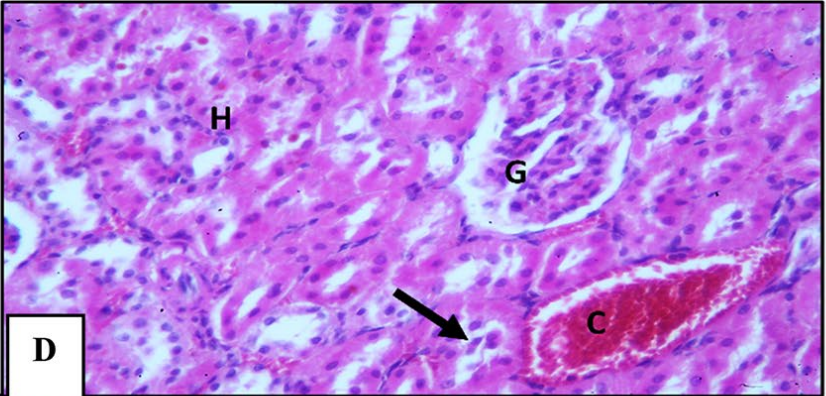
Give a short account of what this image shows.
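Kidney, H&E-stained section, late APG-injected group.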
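This is renal cortex with a glomerulus and many surrounding tubules cut in cross and oblique section. The glomerulus sits to the upper right, a rounded tuft of capillaries with purple nuclei surrounded by a clear space and a thin capsule. Below it lies a large blood vessel whose lumen is packed with red blood cells, staining solid red. The tubules are lined by pink cuboidal cells with round purple nuclei; many lumens are open and pale, and some contain loose material. Small red-filled capillaries lie between the tubules.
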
